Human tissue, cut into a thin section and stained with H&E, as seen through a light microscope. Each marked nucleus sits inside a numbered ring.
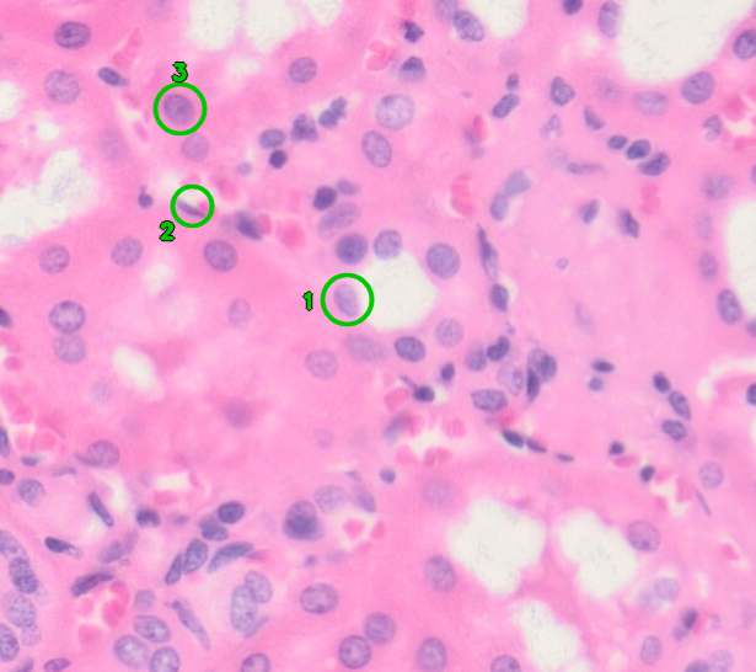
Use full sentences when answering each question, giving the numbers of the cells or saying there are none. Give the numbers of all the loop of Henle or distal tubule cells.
No numbered cell in this section is one of the loop of Henle or distal tubule cells.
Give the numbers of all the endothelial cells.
Cell 2 is the only one of the numbered cells that is an endothelial cell.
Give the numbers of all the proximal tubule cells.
With the exception of cell 3, no marked cell is a proximal tubule cell.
